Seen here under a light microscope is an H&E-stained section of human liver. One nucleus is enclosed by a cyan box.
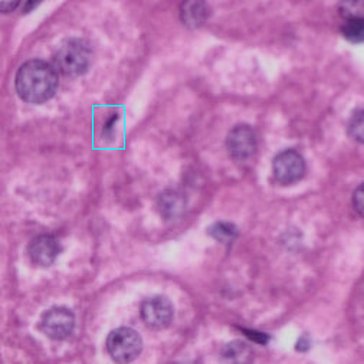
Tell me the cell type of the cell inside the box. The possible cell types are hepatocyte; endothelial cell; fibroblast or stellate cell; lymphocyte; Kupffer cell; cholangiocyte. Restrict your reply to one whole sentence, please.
What the cell inside the box represents is an endothelial cell.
